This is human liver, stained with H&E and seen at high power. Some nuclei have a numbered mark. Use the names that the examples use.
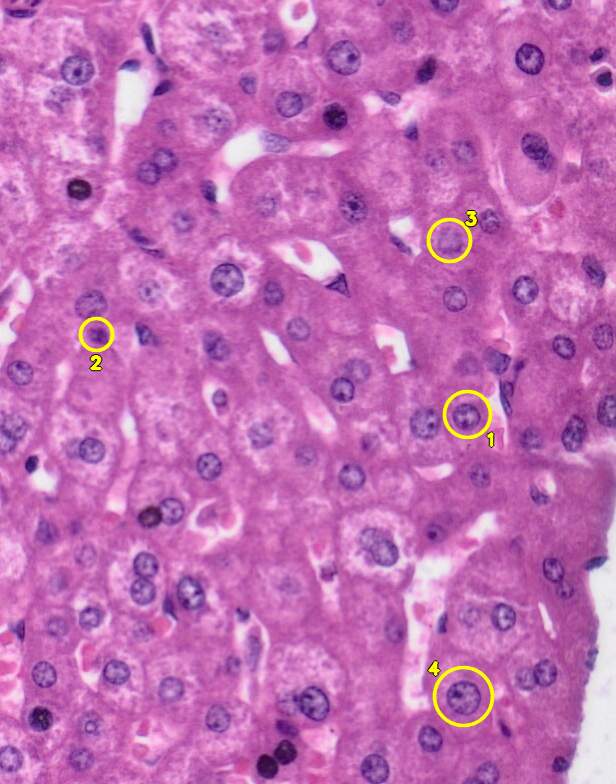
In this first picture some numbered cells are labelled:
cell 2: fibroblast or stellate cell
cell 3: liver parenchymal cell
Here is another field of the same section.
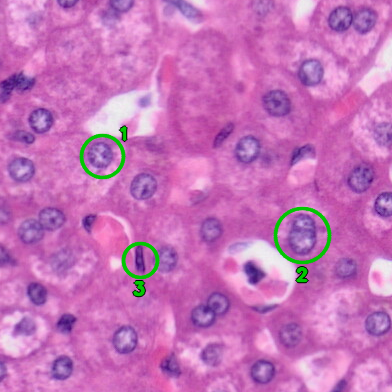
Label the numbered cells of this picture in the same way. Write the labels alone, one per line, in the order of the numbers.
liver parenchymal cell
liver parenchymal cell
fibroblast or stellate cell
